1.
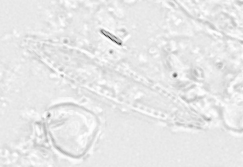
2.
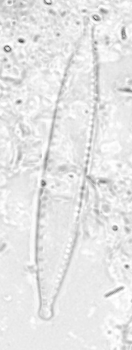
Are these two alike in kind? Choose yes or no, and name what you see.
Yes. Nitzschia.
